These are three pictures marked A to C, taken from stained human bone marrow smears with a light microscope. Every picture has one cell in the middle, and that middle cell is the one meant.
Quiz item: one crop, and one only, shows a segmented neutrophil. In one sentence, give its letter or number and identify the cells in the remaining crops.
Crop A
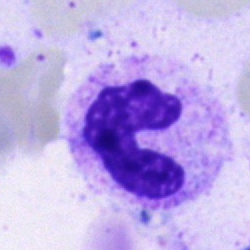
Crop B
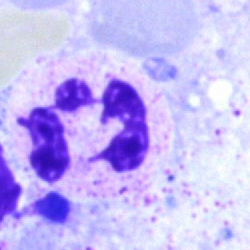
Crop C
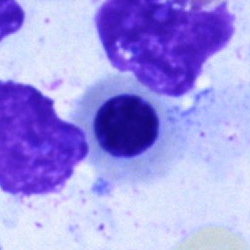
Identified in crop B is a segmented neutrophil, whereas crop A is a band neutrophil and crop C is an erythroblast.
